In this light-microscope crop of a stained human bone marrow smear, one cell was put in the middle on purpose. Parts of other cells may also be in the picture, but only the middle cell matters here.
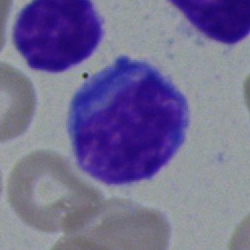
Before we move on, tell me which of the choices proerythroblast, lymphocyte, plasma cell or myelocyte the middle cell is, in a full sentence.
The identification for the central cell is a lymphocyte.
